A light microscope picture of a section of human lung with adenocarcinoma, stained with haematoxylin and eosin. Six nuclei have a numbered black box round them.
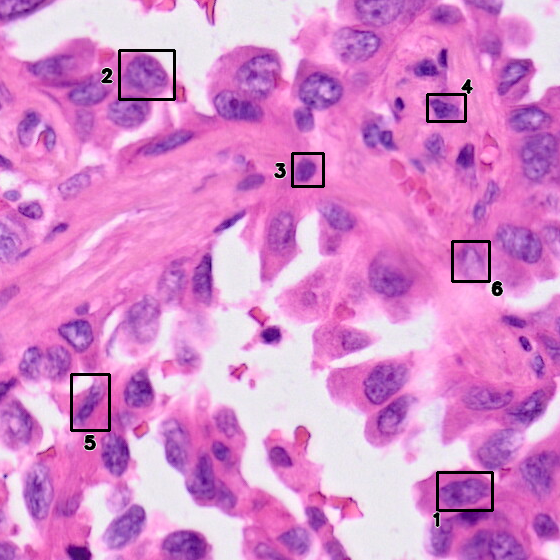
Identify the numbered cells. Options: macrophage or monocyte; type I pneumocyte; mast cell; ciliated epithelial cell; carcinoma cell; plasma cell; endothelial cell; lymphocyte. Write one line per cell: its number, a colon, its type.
1: carcinoma cell
2: carcinoma cell
3: lymphocyte
4: plasma cell
5: carcinoma cell
6: carcinoma cell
